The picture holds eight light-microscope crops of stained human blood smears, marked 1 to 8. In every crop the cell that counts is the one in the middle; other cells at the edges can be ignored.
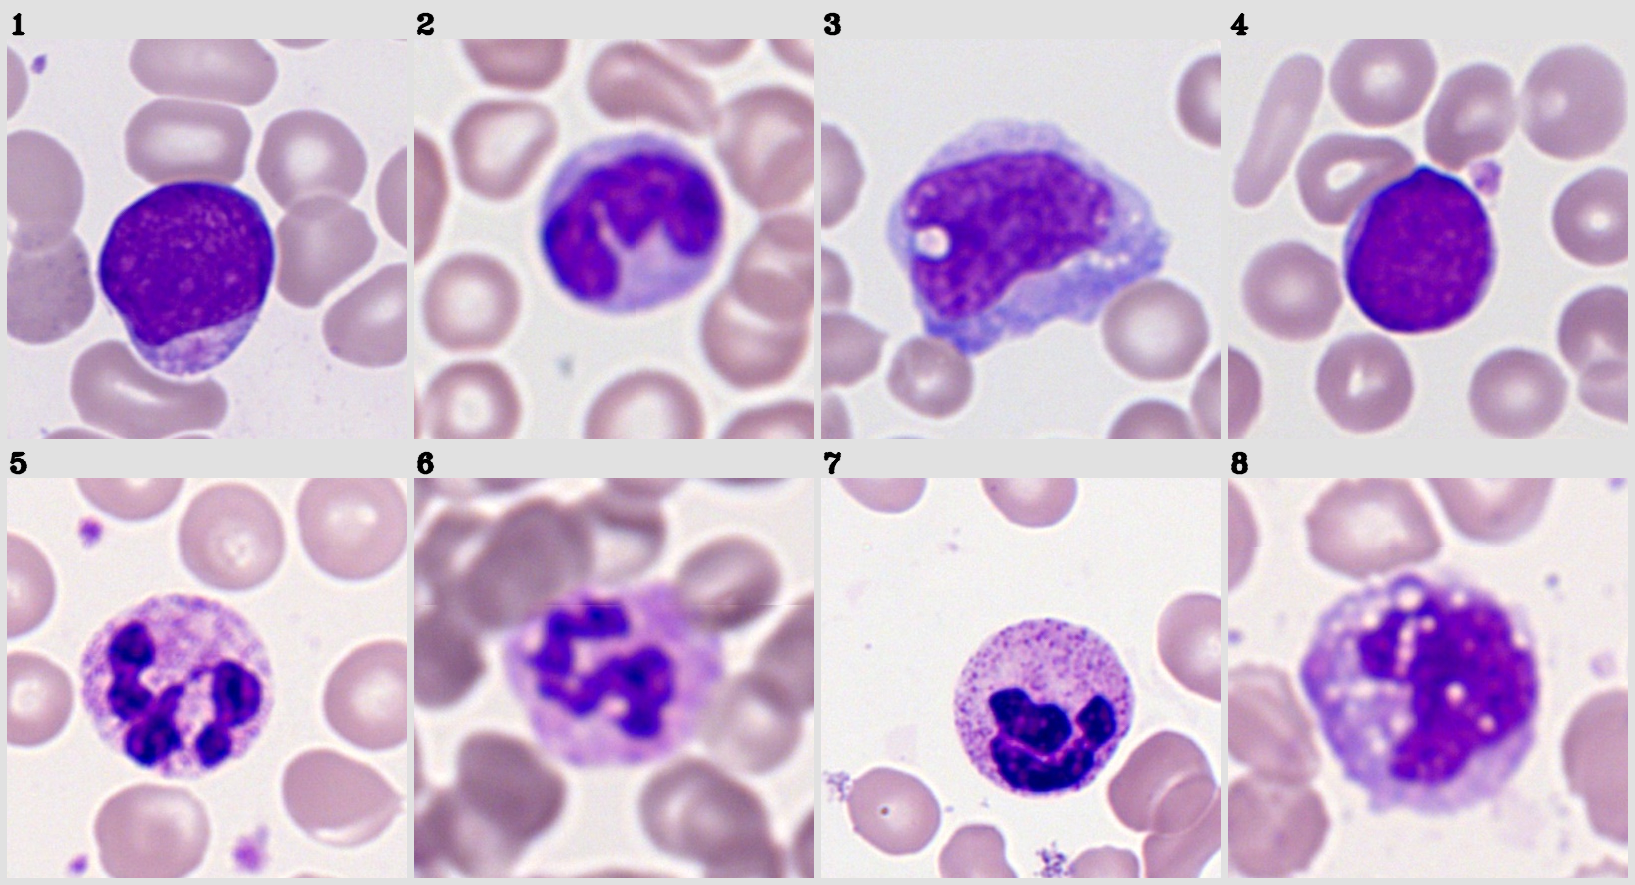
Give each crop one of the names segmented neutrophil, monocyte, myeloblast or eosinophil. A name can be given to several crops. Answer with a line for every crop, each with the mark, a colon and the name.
1: myeloblast
2: monocyte
3: monocyte
4: myeloblast
5: segmented neutrophil
6: segmented neutrophil
7: segmented neutrophil
8: monocyte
